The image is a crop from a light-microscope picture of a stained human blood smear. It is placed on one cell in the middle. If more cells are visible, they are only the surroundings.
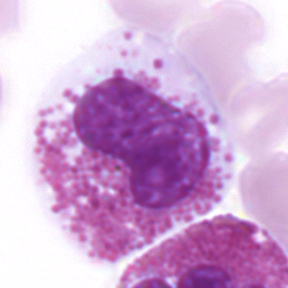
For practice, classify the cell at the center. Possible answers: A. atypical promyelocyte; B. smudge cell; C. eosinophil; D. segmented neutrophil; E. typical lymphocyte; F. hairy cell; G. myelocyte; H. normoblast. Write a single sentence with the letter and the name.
Well, the cell in the middle is an eosinophil, making option C right.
